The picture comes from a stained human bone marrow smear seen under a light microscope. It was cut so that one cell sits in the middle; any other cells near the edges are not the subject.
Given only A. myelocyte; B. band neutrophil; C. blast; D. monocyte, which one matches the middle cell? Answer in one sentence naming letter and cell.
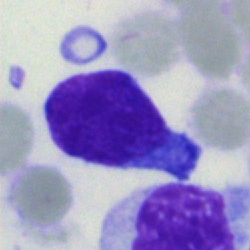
Located in the middle of the crop is a blast, and option C is therefore correct.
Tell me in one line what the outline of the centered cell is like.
Along its border, the cell is uneven, whether by ragged stretches or by projections.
